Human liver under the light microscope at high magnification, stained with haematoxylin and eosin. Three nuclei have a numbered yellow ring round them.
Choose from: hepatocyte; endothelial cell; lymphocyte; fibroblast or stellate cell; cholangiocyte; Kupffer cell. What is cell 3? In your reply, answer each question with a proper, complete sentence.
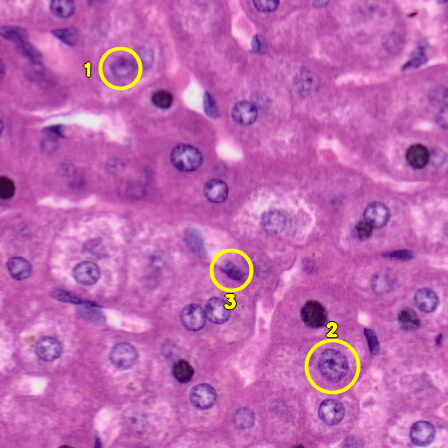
Belonging to a fibroblast or stellate cell is the nucleus that carries the number 3.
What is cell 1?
The cell pointed out by number 1 is a hepatocyte.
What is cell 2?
The cell given label 2 is a hepatocyte.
